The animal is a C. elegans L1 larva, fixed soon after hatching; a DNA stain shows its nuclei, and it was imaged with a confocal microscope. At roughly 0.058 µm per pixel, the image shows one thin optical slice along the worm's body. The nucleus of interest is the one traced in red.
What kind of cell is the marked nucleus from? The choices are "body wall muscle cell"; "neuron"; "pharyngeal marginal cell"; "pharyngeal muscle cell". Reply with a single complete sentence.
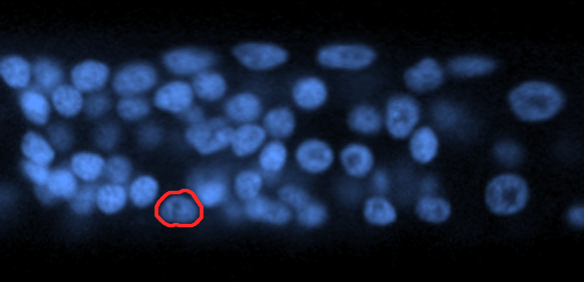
This nucleus is from a body wall muscle cell.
